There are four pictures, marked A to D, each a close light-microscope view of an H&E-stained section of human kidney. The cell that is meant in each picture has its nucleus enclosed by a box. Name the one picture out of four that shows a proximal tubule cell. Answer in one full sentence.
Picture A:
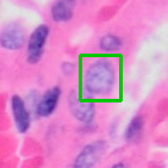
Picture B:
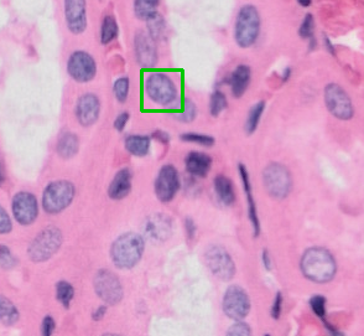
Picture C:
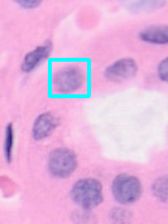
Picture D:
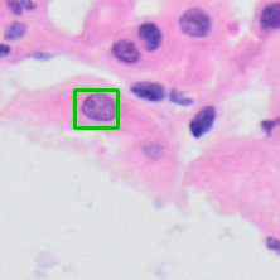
The cell in picture D is the proximal tubule cell.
